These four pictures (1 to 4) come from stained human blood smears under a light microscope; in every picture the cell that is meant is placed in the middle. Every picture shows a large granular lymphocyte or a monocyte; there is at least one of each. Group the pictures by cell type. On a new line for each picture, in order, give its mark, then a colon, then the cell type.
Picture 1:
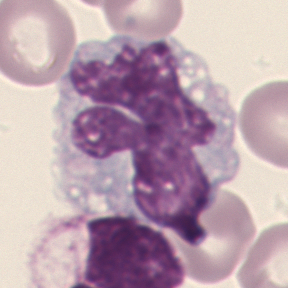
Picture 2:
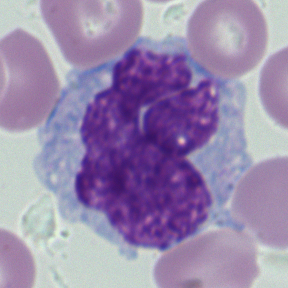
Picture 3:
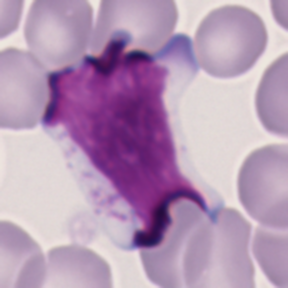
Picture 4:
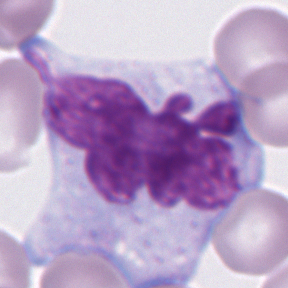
1: monocyte
2: monocyte
3: large granular lymphocyte
4: monocyte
